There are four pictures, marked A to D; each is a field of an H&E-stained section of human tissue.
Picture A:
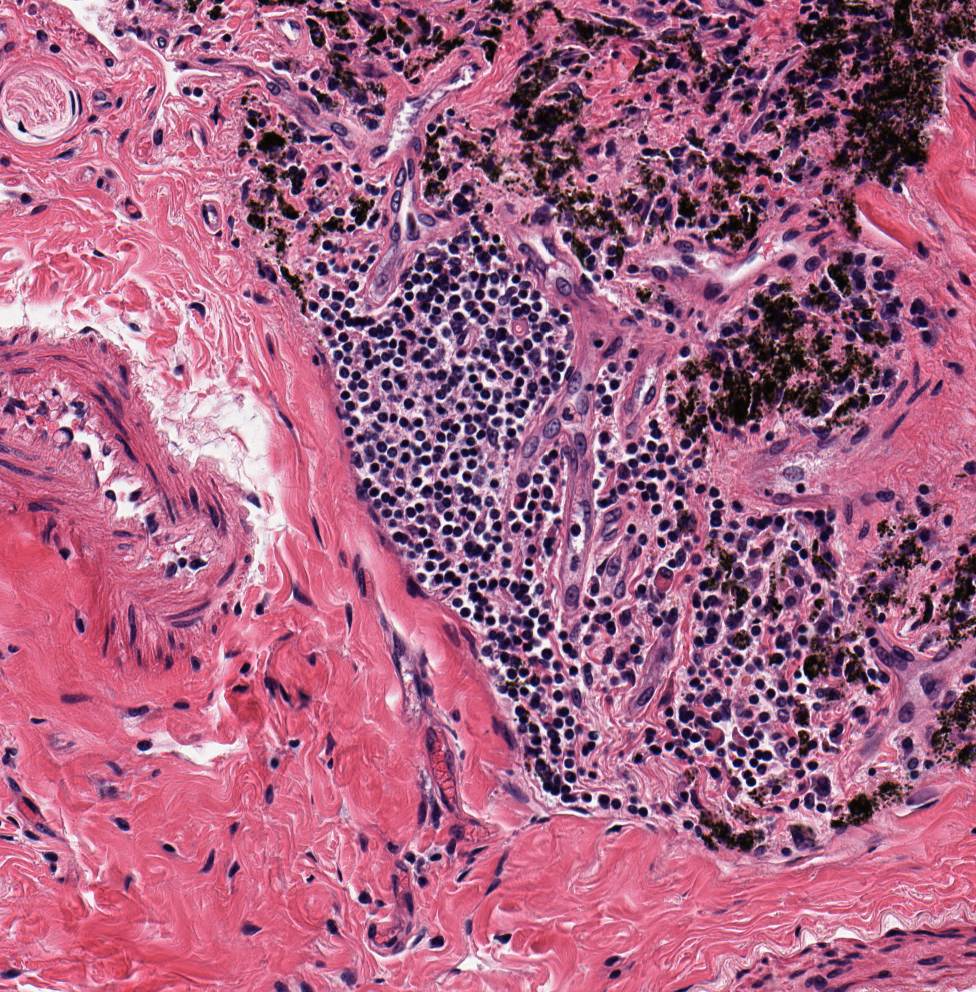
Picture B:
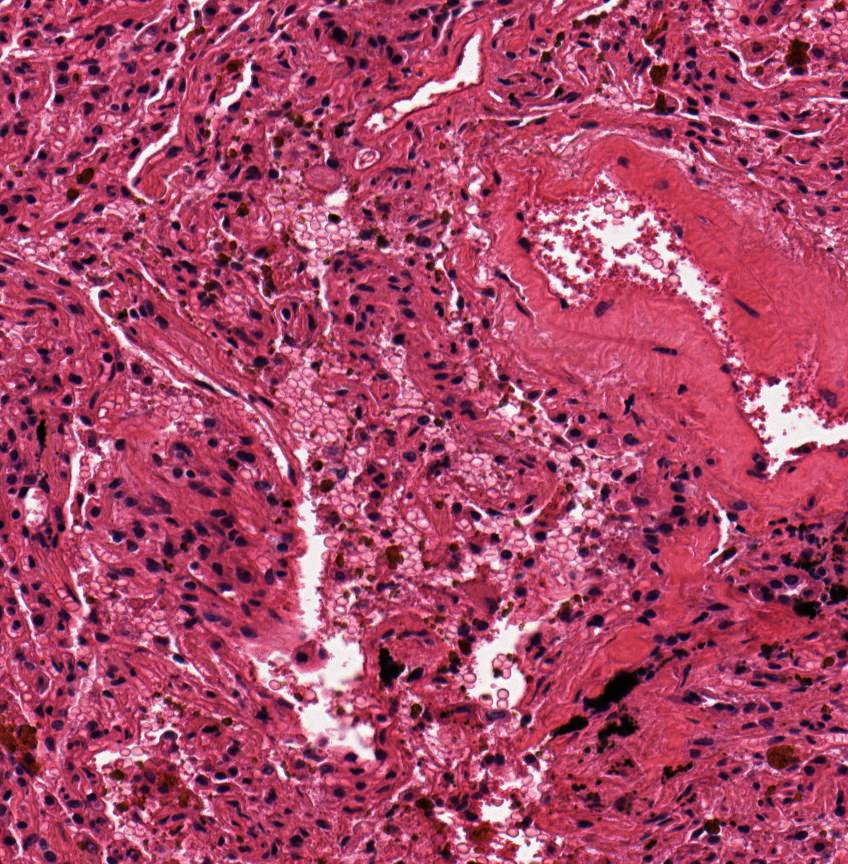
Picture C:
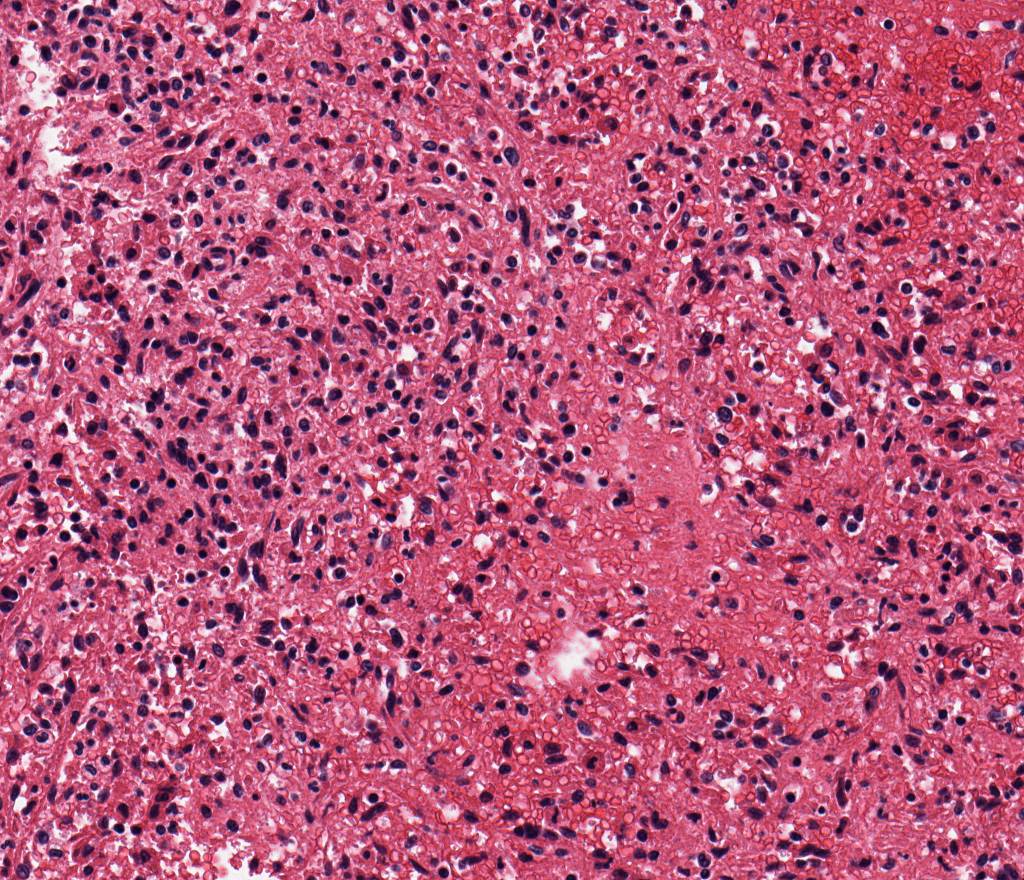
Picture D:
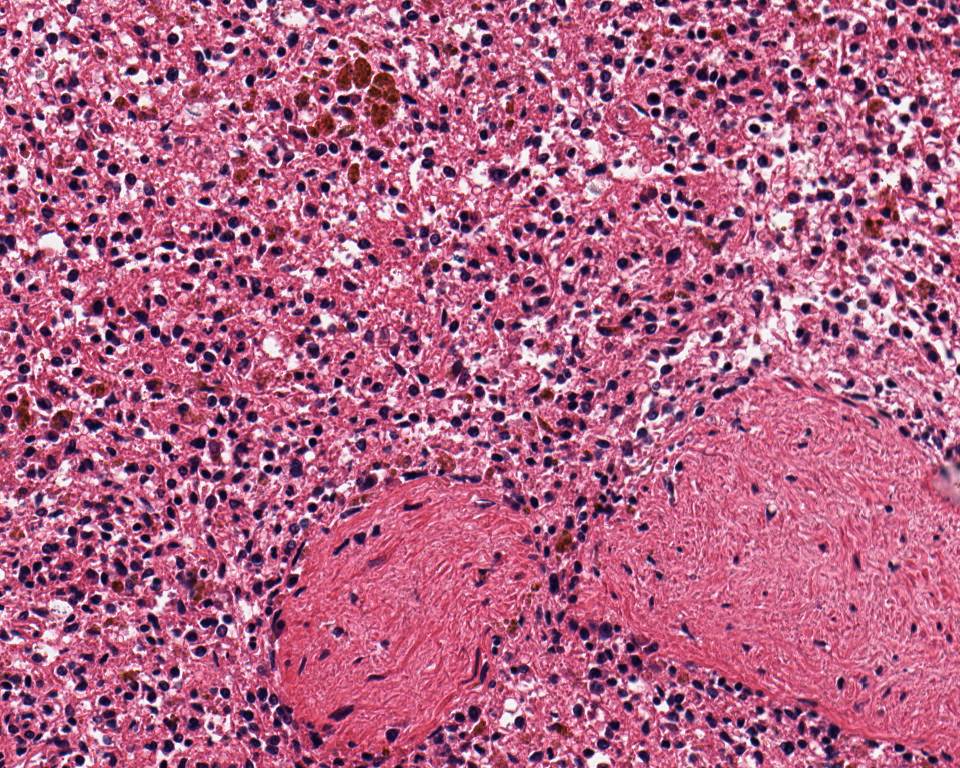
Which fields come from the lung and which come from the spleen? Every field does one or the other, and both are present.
A: lung
B: lung
C: spleen
D: spleen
